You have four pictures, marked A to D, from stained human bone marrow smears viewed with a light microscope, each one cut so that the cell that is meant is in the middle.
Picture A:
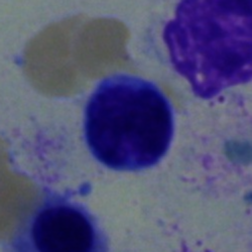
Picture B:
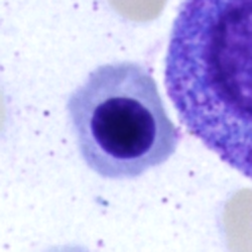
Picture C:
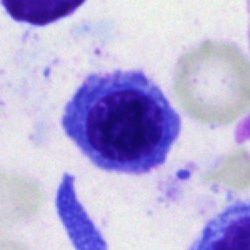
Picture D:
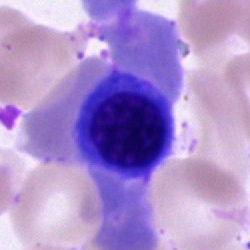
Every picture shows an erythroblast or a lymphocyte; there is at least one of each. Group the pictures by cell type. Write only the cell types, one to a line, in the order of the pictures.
lymphocyte
erythroblast
erythroblast
erythroblast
